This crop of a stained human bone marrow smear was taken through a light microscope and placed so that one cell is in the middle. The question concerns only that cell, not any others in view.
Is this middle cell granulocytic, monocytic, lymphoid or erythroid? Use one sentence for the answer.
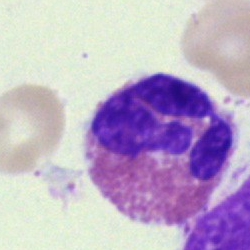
The central cell derives from the granulocytic lineage.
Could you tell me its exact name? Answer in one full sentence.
Occupying the centre of the crop is an eosinophil.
